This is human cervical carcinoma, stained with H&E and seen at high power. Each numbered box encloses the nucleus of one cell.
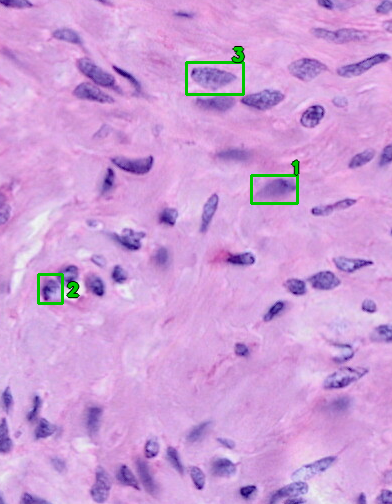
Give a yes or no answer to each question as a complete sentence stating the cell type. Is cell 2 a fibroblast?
No, the cell numbered 2 is an endothelial cell rather than a fibroblast.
